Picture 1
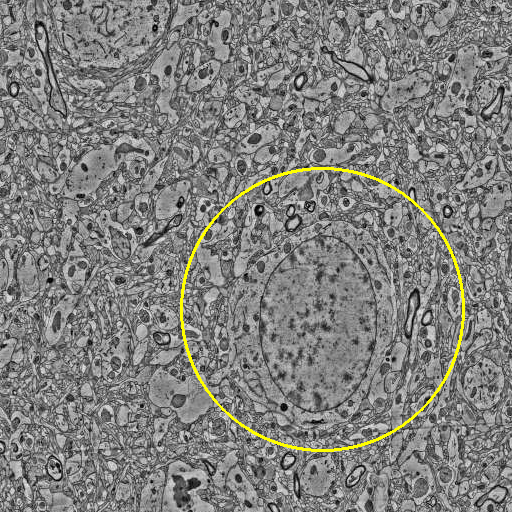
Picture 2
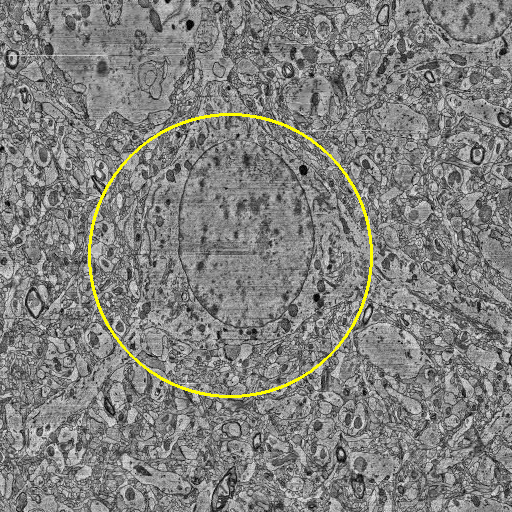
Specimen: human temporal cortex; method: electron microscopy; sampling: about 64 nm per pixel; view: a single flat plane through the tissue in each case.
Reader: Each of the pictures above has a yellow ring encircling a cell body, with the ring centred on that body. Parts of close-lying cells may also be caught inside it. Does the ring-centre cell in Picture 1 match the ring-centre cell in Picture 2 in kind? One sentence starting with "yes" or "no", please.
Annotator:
Yes, Picture 1 and Picture 2 show ring-centre cells of a single kind.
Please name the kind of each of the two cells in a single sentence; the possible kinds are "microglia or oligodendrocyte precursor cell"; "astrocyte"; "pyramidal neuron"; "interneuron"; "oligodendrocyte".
Each of the ringed cells, first and second, is a pyramidal neuron.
